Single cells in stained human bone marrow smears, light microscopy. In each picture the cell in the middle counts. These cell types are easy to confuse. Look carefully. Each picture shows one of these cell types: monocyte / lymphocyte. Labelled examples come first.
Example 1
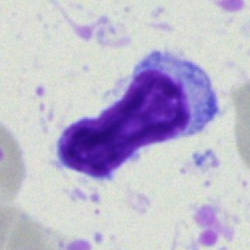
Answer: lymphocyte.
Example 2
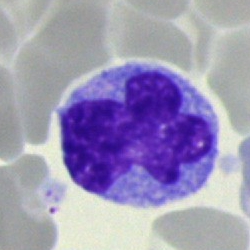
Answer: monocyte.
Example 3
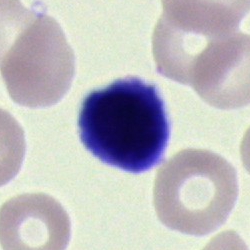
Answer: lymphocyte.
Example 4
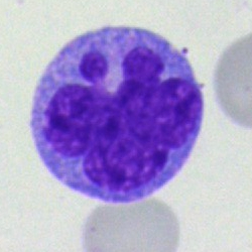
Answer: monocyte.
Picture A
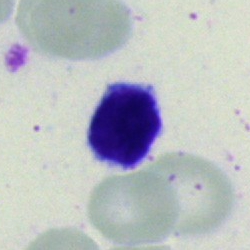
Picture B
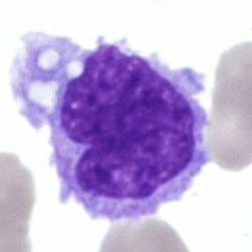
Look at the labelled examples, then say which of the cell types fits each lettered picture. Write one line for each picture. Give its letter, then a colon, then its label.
A: lymphocyte.
B: monocyte.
